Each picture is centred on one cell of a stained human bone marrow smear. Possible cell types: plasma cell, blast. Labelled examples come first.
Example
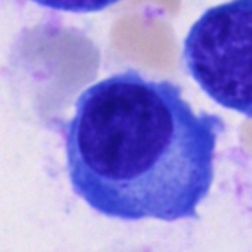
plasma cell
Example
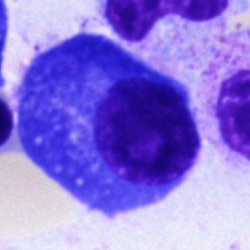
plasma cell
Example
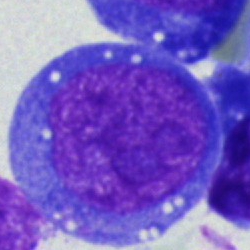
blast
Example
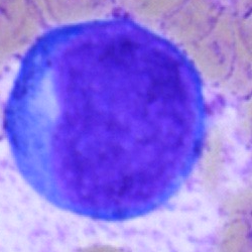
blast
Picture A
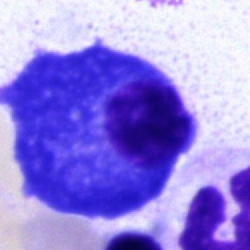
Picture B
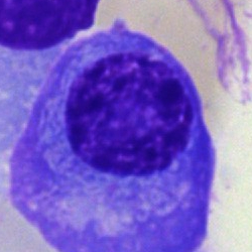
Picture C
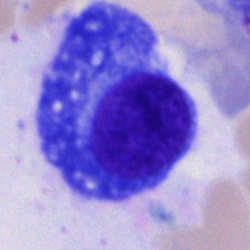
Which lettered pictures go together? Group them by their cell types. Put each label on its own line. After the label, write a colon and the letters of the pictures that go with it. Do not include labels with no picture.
plasma cell: A, B, C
